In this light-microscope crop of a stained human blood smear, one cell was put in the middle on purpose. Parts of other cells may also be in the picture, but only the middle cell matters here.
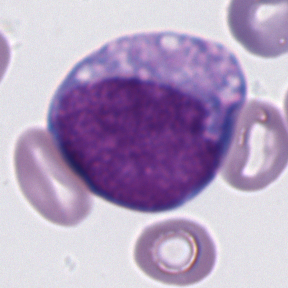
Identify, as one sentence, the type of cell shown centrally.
The middle position in this crop is taken by a promyelocyte.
